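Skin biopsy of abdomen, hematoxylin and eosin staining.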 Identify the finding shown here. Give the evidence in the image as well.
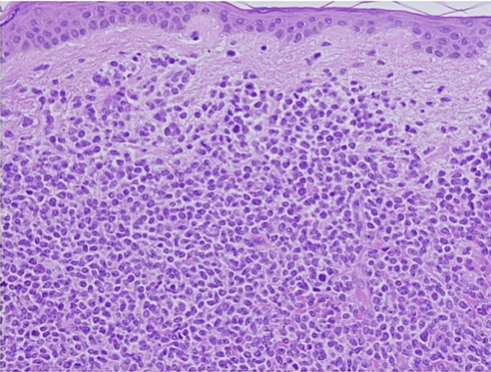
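Malignant cells. A dense, diffuse sheet of cells fills the dermis below the epidermis. The cells are monotonous, with round dark nuclei and scant cytoplasm. The infiltrate replaces the normal dermal connective tissue.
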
